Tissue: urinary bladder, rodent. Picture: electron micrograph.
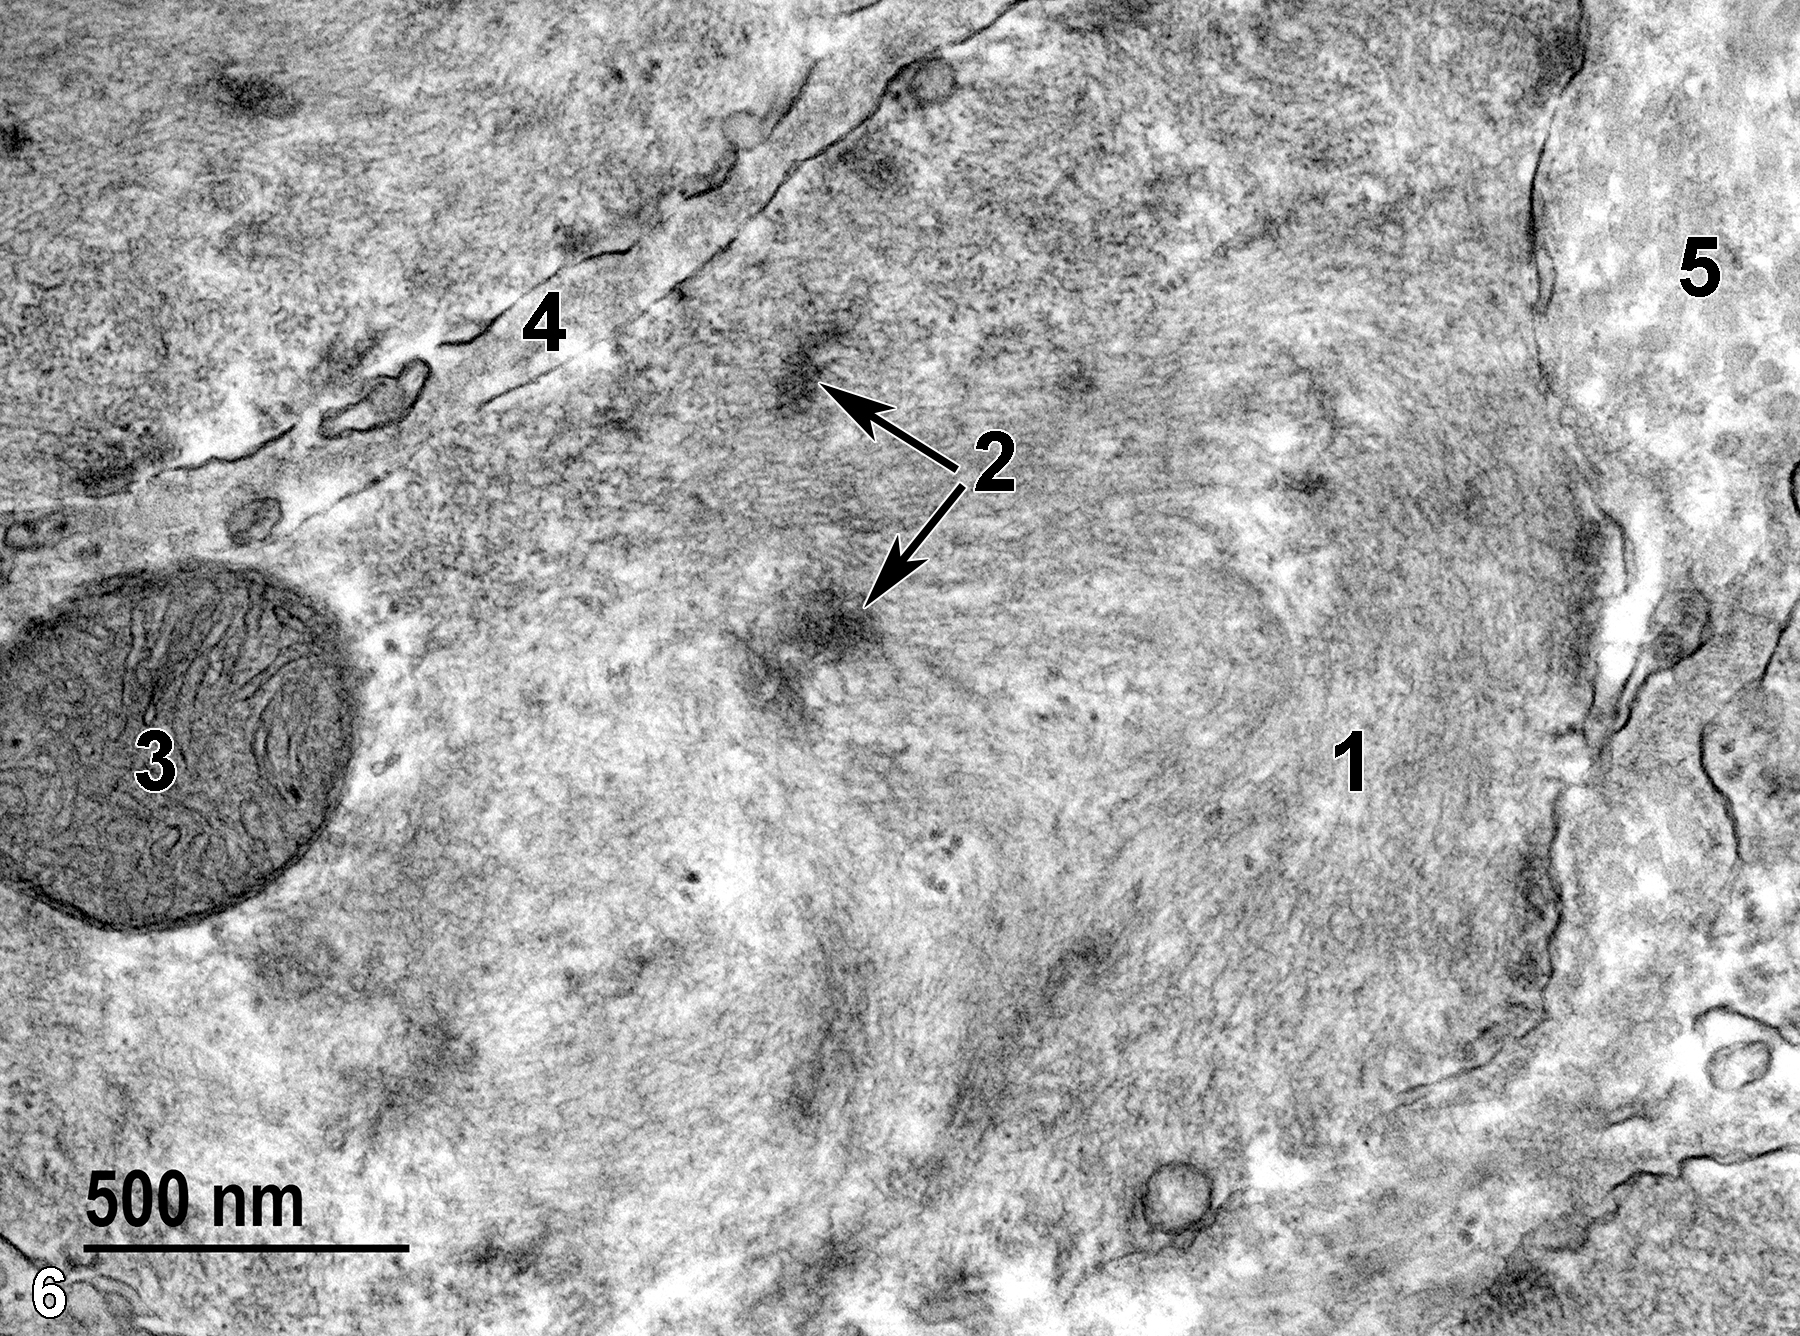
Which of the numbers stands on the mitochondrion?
It's 3.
